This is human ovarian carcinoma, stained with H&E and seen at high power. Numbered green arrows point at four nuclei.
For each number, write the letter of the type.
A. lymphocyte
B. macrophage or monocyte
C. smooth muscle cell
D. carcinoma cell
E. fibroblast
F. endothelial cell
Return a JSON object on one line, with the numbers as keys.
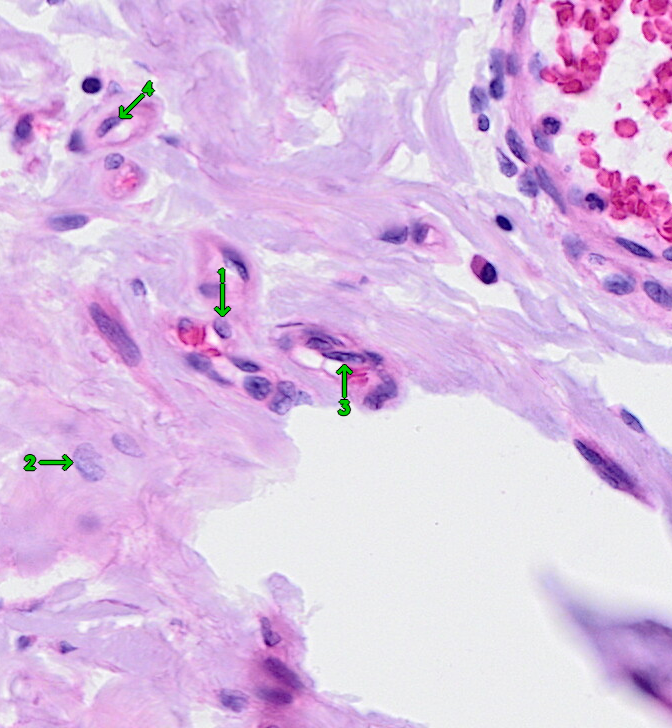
{"1": "F", "2": "E", "3": "F", "4": "F"}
